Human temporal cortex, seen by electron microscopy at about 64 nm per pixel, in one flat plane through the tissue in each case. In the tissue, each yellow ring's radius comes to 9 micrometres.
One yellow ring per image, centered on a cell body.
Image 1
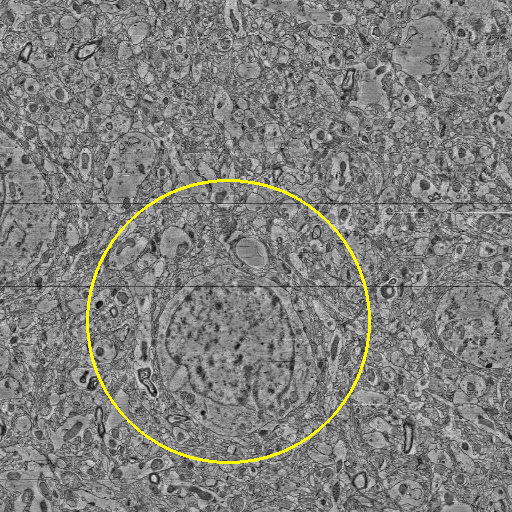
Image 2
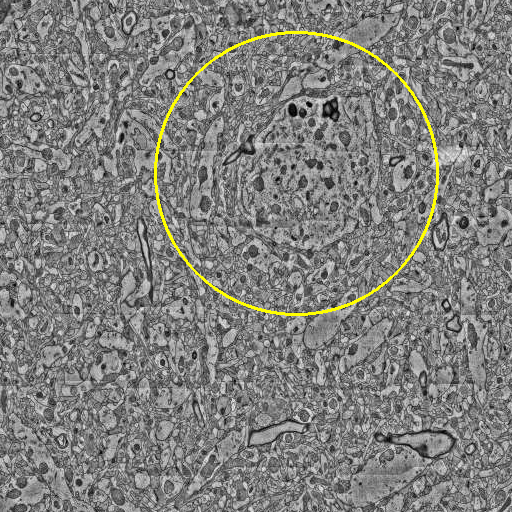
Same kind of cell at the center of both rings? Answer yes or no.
no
